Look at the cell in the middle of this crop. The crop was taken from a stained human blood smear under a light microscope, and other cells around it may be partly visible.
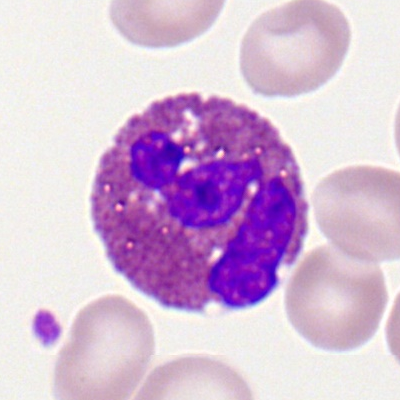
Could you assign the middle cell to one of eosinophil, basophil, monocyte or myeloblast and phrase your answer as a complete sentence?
For this crop, the central cell is an eosinophil.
